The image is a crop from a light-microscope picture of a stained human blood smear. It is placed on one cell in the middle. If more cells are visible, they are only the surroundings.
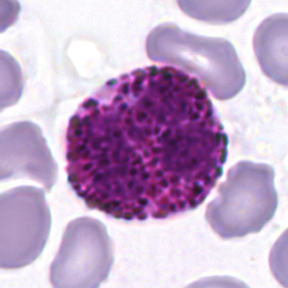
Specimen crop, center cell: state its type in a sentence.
The central cell shown in this smear crop is a basophil.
